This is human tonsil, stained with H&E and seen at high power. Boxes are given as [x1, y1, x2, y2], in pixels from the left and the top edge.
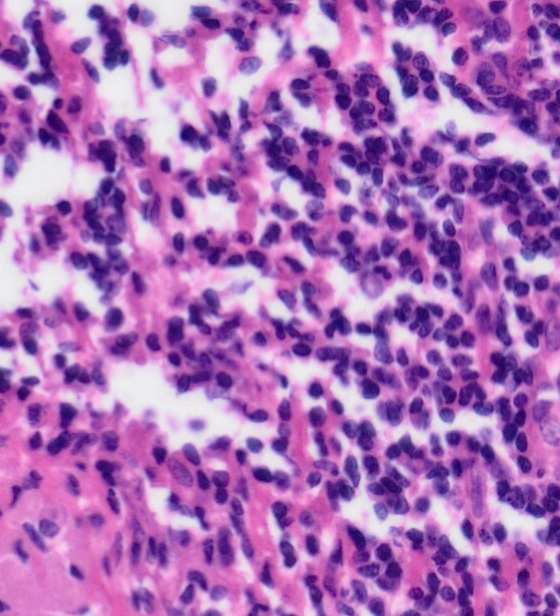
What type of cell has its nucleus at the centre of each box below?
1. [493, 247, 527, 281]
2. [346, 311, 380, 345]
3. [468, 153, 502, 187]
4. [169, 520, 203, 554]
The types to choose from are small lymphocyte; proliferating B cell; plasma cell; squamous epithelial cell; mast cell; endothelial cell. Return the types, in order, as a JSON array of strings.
["small lymphocyte", "small lymphocyte", "small lymphocyte", "endothelial cell"]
